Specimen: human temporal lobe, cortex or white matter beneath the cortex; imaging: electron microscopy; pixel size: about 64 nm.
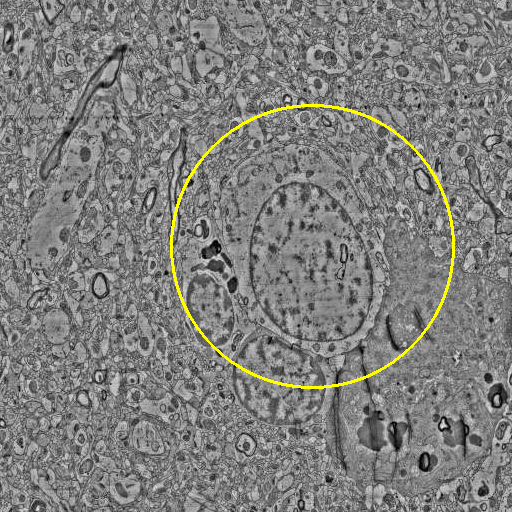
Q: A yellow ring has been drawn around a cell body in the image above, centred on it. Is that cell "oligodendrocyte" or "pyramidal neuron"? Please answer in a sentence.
The ring surrounds the cell body of a pyramidal neuron.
